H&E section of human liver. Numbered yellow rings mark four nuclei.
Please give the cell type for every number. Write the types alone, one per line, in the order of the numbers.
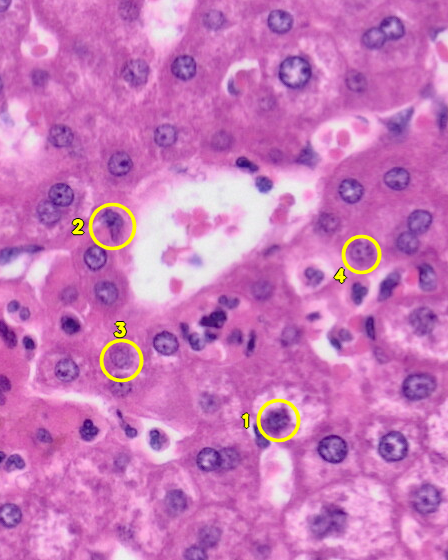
hepatocyte
fibroblast or stellate cell
hepatocyte
hepatocyte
